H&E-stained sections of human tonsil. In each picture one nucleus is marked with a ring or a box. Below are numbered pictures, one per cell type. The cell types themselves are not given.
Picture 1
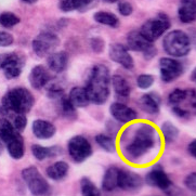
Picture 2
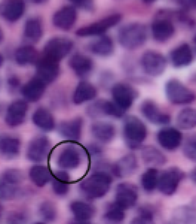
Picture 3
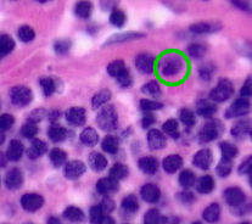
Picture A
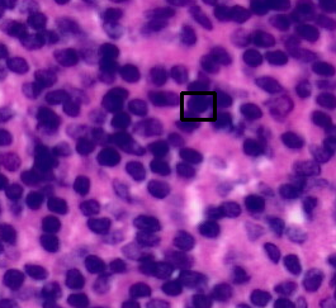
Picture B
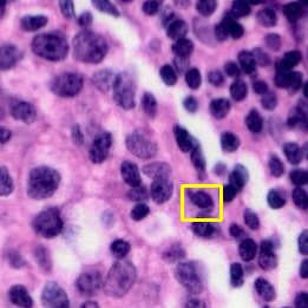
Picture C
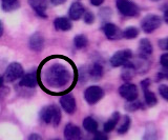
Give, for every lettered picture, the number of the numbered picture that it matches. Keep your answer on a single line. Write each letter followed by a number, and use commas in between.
A 2, B 1, C 1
